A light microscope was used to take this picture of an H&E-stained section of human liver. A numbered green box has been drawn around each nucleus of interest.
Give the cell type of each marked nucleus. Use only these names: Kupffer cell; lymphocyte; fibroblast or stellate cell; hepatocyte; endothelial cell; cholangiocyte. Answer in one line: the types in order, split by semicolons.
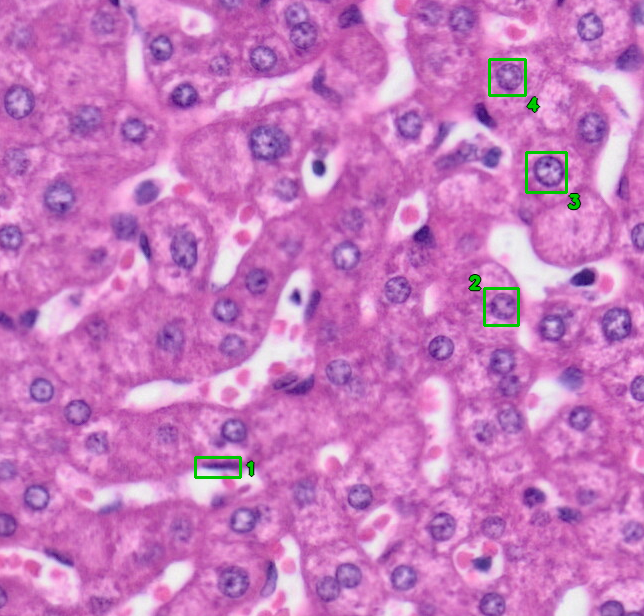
endothelial cell; hepatocyte; hepatocyte; hepatocyte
